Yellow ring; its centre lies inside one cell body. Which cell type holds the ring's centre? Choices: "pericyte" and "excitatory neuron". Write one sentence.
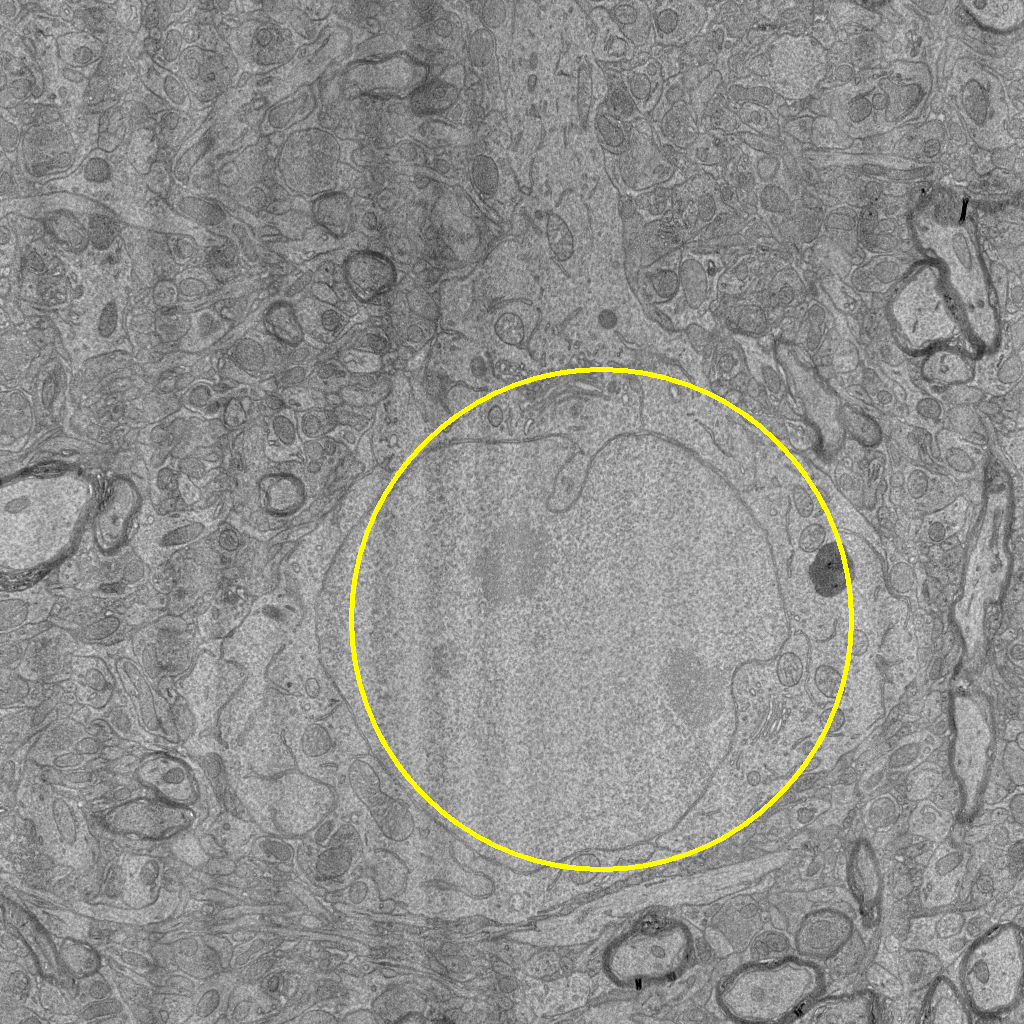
At the centre of the ring sits an excitatory neuron.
